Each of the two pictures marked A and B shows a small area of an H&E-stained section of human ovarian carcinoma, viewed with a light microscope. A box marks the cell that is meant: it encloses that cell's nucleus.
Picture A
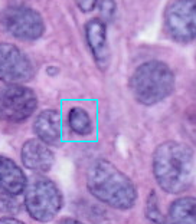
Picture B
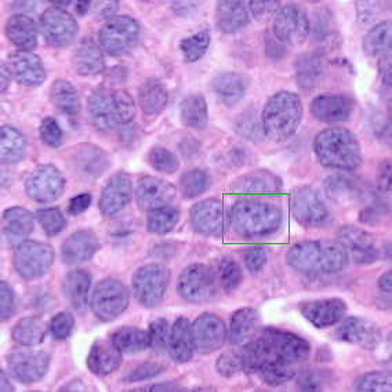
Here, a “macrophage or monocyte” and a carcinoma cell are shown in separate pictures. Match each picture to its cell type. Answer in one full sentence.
Picture A shows a “macrophage or monocyte” and picture B shows a carcinoma cell.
